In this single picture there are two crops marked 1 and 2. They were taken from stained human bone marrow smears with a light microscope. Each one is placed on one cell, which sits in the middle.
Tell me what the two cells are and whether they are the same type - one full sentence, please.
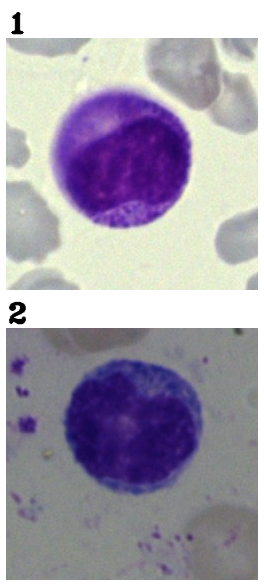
No, crop 1 offers a myelocyte, while crop 2 offers a monocyte.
